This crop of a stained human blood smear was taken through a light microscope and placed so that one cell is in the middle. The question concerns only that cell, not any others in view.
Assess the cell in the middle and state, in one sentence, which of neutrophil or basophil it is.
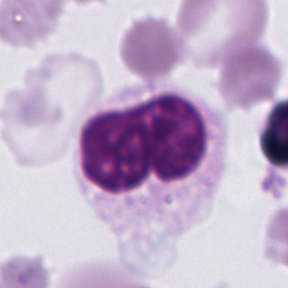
Located at the centre of the crop is a neutrophil.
